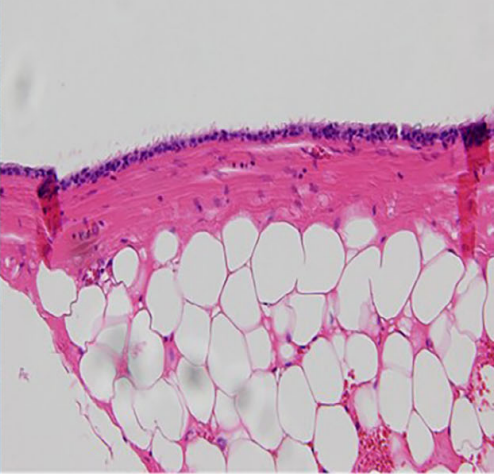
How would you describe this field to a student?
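This is the wall of a cyst lined by pseudostratified ciliated columnar epithelium. Along the top edge runs a thin epithelial layer whose purple nuclei lie crowded at different heights, so the single layer looks stratified. A delicate fringe of cilia projects from the luminal surface into the empty space above. Beneath the lining lies a band of pink, fairly dense fibrous connective tissue with scattered elongated nuclei. Deeper still, the wall passes into fat, with large clear polygonal adipocytes separated by thin pink septa.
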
